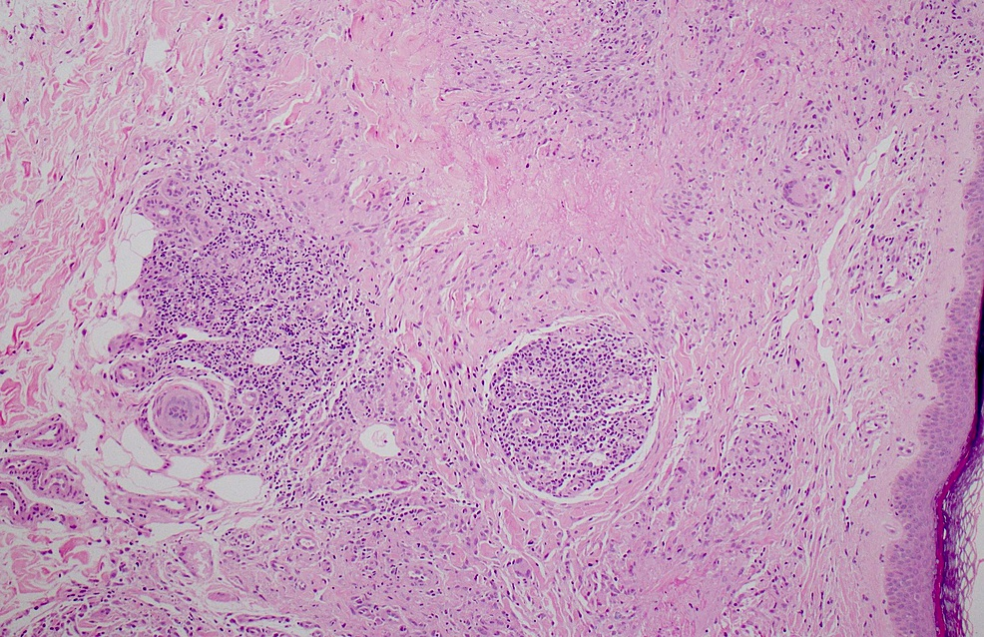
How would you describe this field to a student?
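This is skin at low power. The epidermis is a thin purple band along the right edge, and the dermis takes up most of the field. In the upper middle of the dermis, a zone of pale, washed-out pink collagen has few nuclei. Nearby lie dense clusters of small dark-nucleated inflammatory cells, some around round adnexal and vascular structures. At the left edge there are clear spaces of fat.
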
